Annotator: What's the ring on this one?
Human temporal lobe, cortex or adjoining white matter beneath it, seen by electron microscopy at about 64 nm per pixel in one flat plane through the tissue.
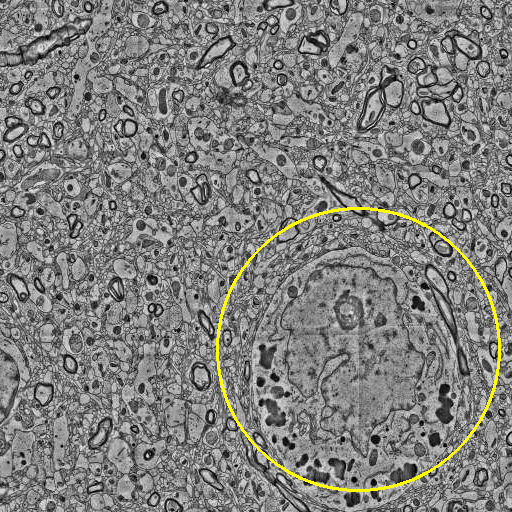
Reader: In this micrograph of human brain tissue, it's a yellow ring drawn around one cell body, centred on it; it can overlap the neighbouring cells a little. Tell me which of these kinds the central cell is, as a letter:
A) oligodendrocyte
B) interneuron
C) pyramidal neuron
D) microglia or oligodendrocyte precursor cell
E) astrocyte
B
